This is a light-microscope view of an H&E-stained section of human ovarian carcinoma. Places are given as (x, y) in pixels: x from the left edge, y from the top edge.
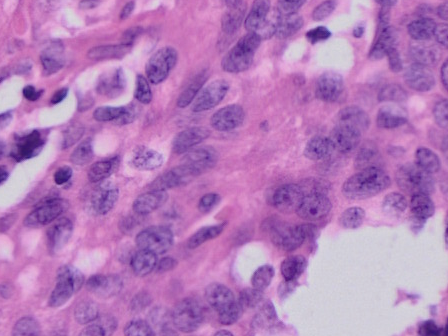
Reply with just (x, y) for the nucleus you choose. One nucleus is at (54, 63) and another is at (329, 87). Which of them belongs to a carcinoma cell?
(329, 87)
